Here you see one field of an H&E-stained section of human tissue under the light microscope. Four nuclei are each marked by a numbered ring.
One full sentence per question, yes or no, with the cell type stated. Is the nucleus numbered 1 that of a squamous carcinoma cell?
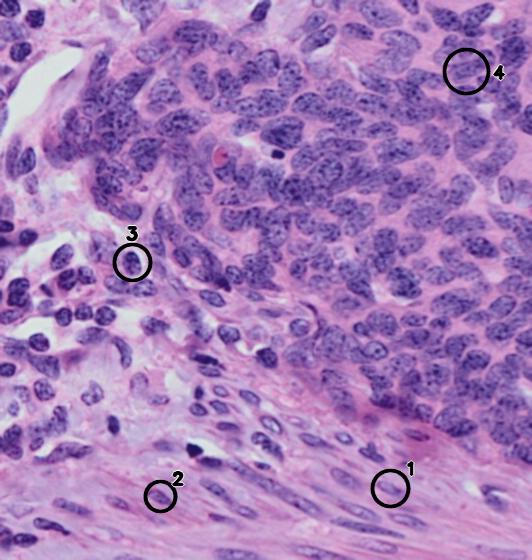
No, the cell referred to as 1 is a smooth muscle cell, not a squamous carcinoma cell.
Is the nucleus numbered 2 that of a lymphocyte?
No, cell 2 is not a lymphocyte; a smooth muscle cell is correct.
